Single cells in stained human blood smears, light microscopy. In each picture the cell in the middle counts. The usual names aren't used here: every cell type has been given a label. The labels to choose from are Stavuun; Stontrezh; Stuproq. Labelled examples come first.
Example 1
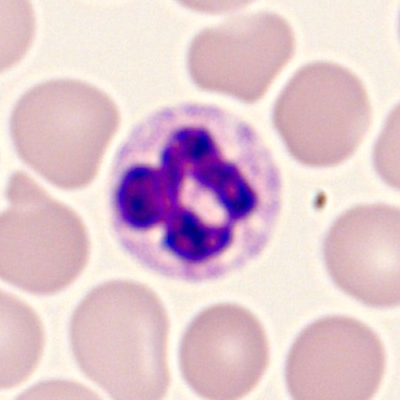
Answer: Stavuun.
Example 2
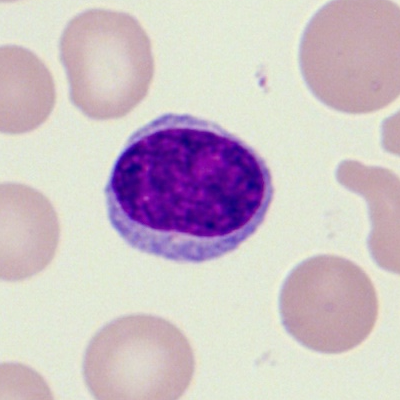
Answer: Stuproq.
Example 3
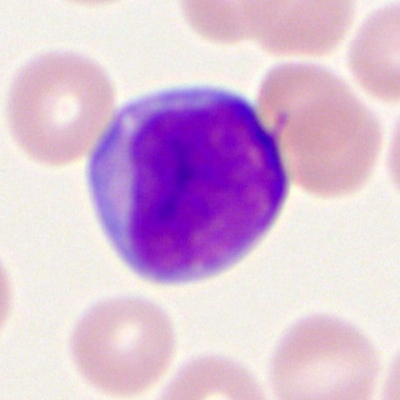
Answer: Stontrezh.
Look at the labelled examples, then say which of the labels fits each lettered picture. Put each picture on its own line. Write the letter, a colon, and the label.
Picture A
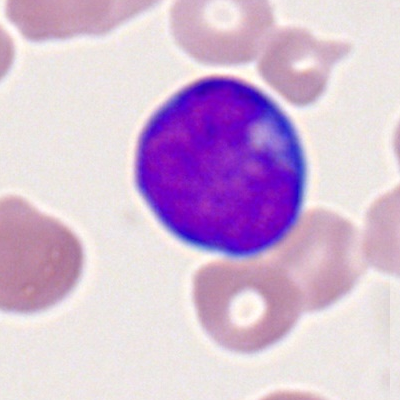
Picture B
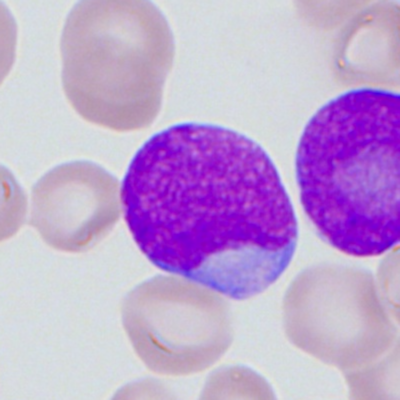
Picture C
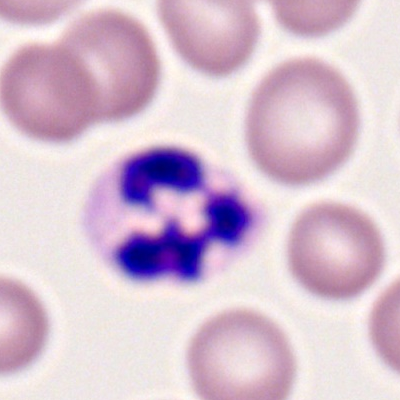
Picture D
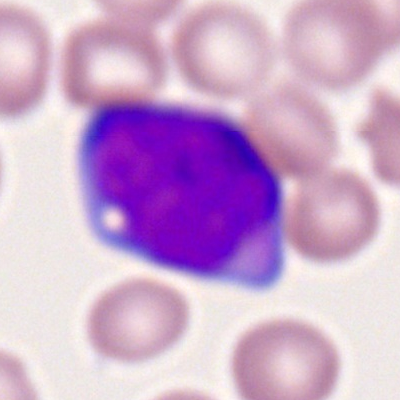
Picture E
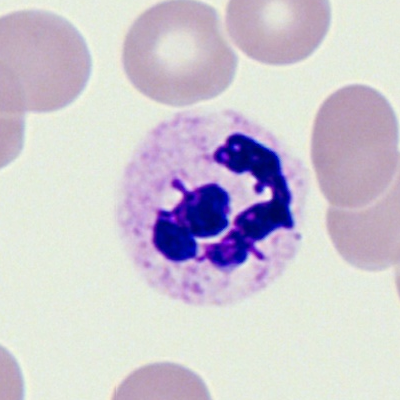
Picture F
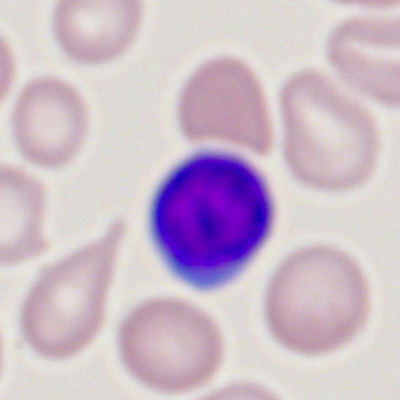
A: Stontrezh.
B: Stontrezh.
C: Stavuun.
D: Stontrezh.
E: Stavuun.
F: Stuproq.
